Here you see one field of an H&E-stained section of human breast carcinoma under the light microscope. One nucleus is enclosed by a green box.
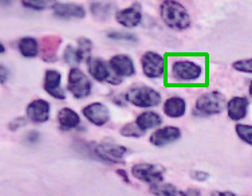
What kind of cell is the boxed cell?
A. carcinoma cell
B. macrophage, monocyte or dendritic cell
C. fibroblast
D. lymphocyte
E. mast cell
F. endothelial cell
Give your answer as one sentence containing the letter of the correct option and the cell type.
Option D gives the correct identity of the boxed cell, which is a lymphocyte.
